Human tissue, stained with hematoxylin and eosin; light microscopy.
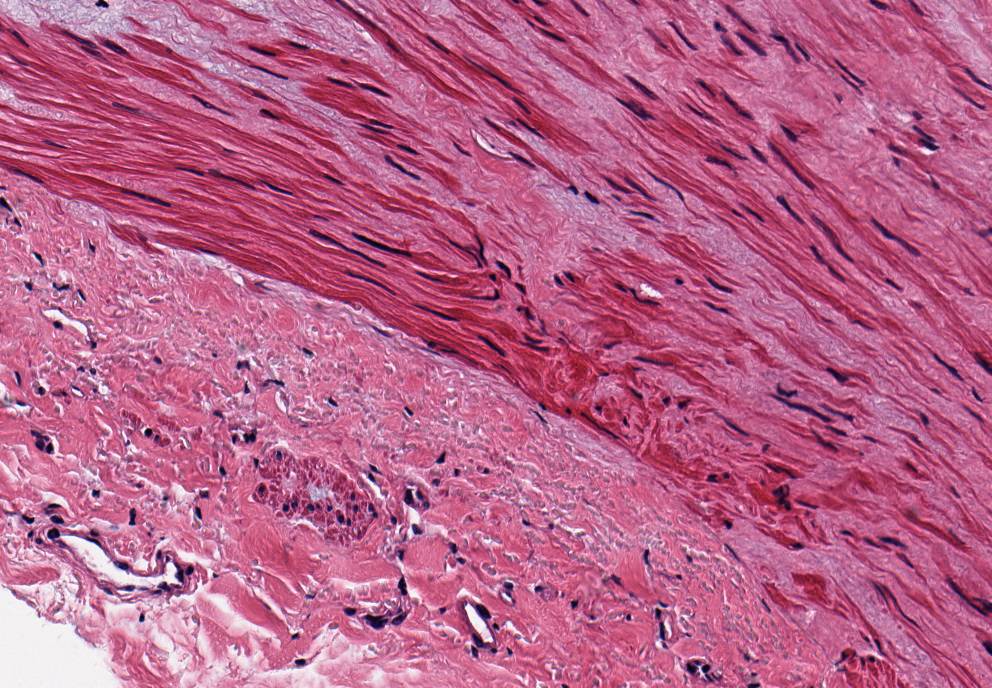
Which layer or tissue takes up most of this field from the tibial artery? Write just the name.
tunica media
